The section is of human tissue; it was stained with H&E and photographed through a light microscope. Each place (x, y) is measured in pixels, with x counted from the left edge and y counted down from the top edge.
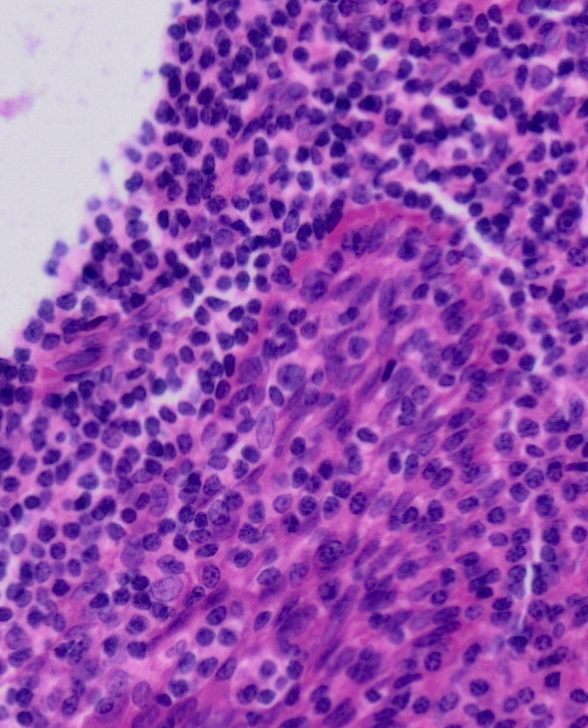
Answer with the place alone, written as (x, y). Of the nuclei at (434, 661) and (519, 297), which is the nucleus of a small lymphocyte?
(519, 297)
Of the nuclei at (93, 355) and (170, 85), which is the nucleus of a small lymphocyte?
(170, 85)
